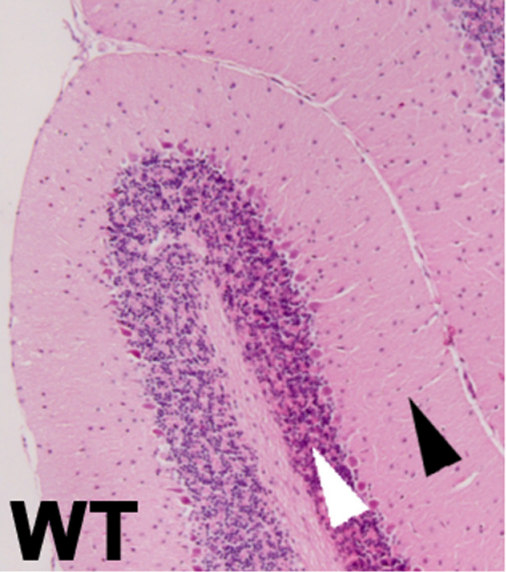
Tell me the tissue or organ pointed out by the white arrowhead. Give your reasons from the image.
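Granular cell layer. The white arrowhead points at a band of densely packed small dark-blue nuclei. This dense band lies inside the folium, beneath the pale pink outer layer.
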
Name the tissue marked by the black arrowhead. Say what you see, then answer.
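Molecular layer. The black arrowhead lies in a broad pale pink outer layer. That layer holds only sparse scattered small nuclei. It lies outside the band of large cells bordering the dense blue layer.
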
